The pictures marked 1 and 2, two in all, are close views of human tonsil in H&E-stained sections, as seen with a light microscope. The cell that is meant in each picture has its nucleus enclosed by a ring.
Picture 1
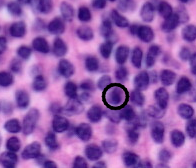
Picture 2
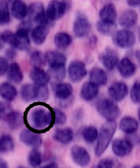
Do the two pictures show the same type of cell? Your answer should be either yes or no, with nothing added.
yes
